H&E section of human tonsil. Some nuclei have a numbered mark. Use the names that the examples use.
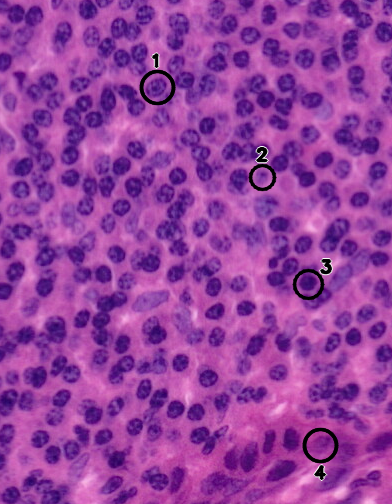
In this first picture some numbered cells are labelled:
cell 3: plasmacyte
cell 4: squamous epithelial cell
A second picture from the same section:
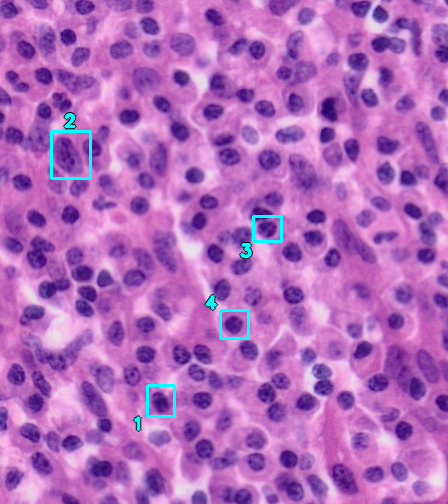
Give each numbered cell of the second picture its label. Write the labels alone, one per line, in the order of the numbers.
plasmacyte
squamous epithelial cell
plasmacyte
plasmacyte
